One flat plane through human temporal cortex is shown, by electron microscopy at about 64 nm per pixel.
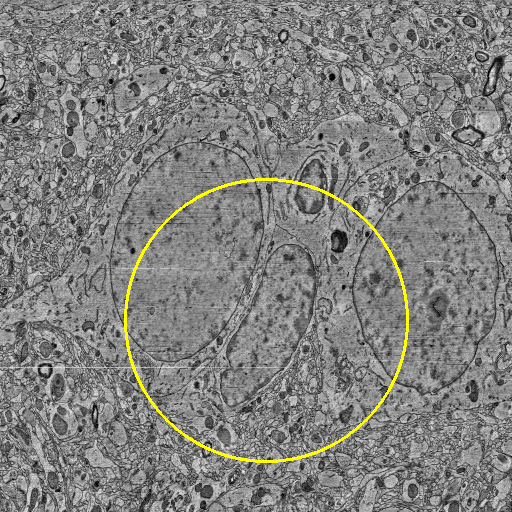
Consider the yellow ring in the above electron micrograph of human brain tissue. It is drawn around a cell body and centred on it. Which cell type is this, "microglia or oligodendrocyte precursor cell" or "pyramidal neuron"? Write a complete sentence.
The cell in question is a microglial cell or oligodendrocyte precursor cell.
